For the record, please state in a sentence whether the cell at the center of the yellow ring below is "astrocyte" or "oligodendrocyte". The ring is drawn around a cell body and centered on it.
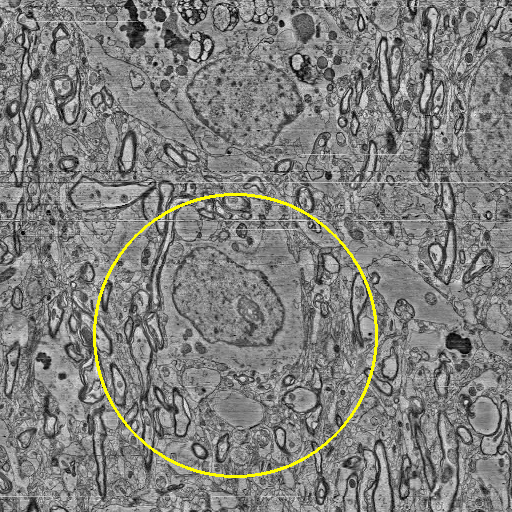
The cell at the ring's center is an astrocyte.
